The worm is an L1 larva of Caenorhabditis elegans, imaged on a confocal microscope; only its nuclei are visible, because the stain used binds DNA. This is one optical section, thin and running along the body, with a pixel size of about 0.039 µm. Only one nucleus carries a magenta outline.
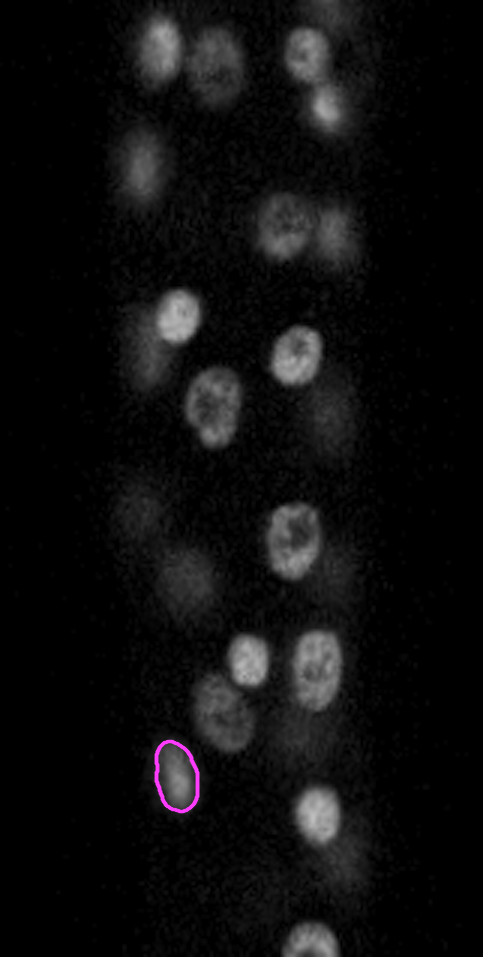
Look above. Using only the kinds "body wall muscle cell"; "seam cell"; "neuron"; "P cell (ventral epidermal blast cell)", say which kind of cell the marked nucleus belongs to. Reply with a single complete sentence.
It is the nucleus of a body wall muscle cell.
